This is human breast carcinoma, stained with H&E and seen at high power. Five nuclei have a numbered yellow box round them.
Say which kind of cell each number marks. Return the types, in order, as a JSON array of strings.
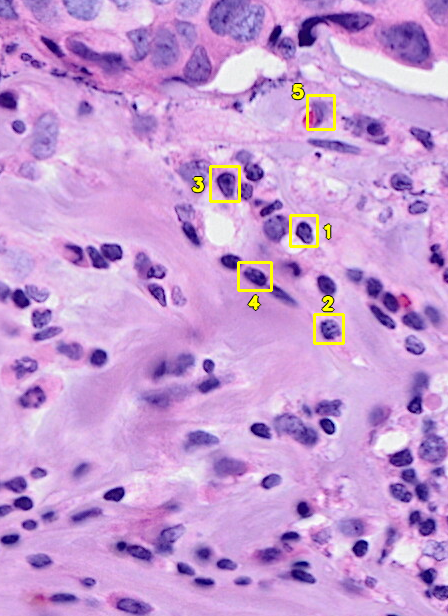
["lymphocyte", "mast cell", "lymphocyte", "lymphocyte", "endothelial cell"]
